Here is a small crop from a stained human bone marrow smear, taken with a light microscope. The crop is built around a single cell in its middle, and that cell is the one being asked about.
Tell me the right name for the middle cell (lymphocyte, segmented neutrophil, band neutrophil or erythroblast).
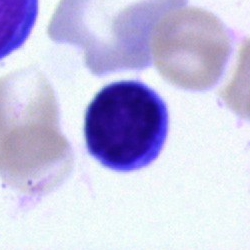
lymphocyte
